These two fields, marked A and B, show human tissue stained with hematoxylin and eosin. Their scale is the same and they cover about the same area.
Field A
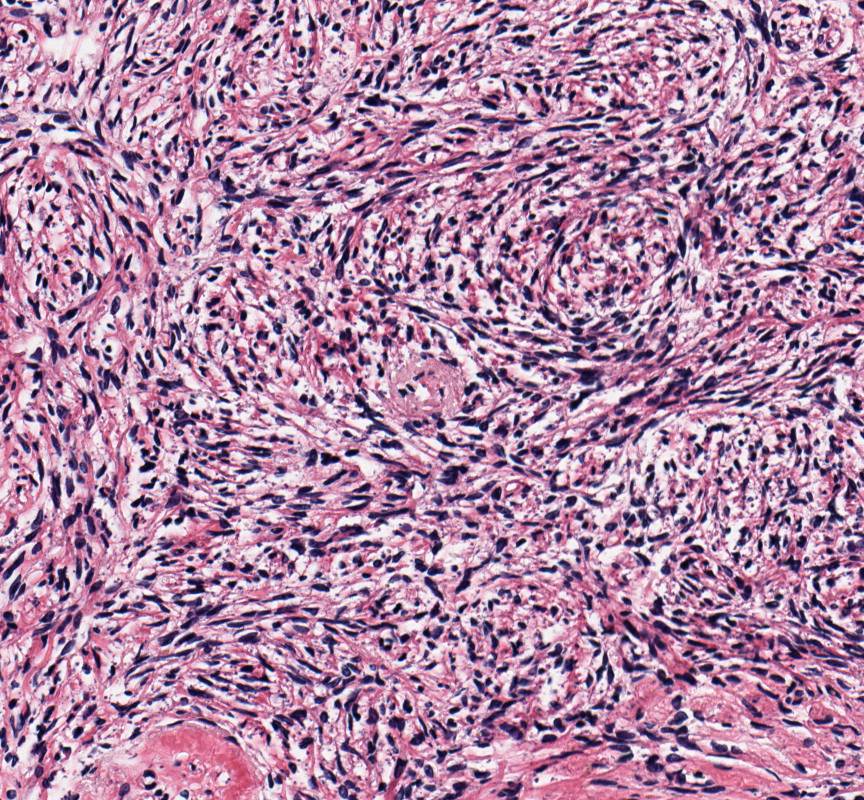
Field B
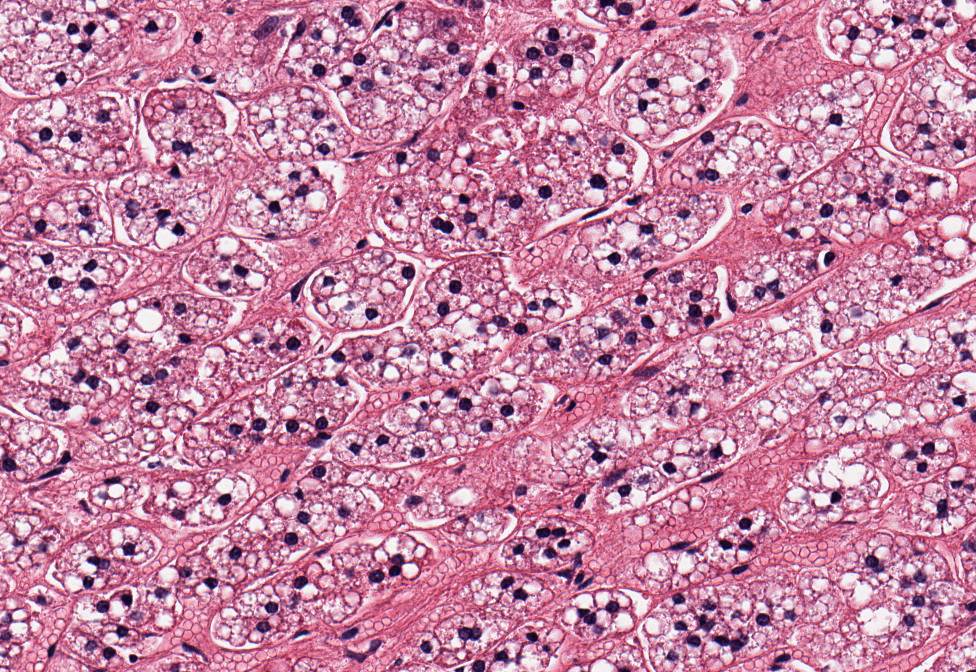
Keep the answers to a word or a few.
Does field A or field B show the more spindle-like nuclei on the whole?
A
